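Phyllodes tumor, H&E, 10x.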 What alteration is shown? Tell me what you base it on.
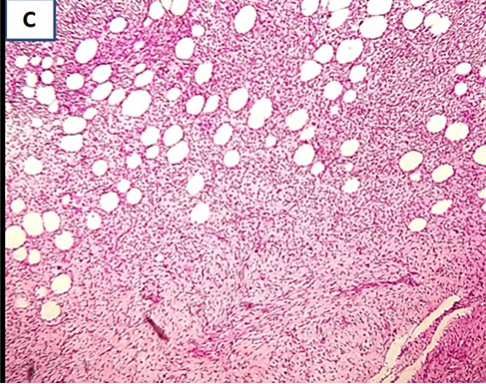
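Cellular spindle-cell tissue extends in among round clear fat cells in the upper part. Fat cells are entrapped and separated by tumor cells without a clear border.
Invasive margins.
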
